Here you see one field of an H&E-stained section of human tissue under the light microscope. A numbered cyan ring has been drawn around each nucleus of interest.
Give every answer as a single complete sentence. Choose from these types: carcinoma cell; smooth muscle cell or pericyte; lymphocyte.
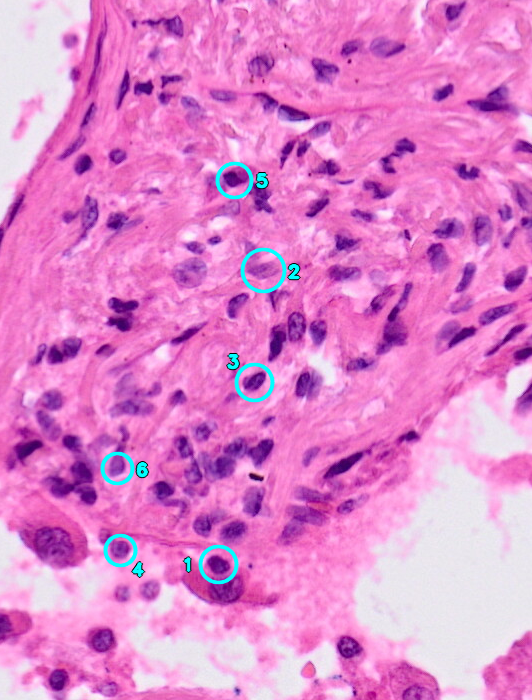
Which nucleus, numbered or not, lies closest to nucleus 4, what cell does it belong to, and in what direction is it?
The nearest nucleus is that of a lymphocyte and lies above and to the left of nucleus 4.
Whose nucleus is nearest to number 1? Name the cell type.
The nearest nucleus to number 1 belongs to a carcinoma cell.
